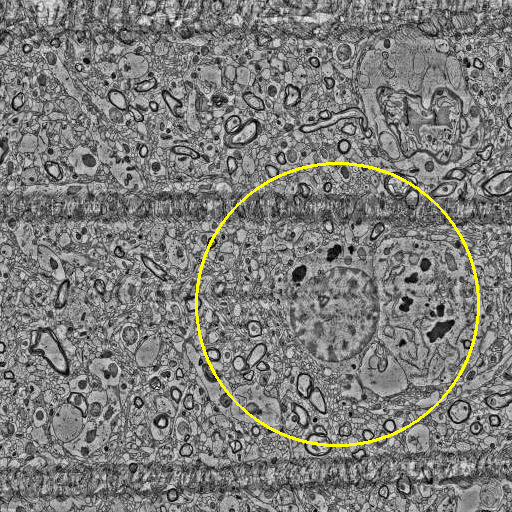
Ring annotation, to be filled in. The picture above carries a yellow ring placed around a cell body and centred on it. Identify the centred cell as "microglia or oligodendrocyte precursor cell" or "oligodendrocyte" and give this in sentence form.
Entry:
The cell in the middle of the ring is an oligodendrocyte.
